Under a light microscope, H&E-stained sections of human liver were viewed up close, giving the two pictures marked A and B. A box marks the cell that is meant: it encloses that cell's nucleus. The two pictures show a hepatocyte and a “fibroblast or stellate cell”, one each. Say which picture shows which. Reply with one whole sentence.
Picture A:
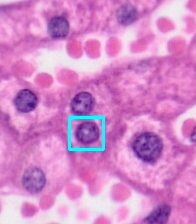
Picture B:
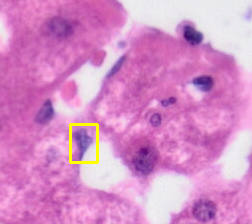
In picture A the cell is a hepatocyte; in picture B, a “fibroblast or stellate cell”.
